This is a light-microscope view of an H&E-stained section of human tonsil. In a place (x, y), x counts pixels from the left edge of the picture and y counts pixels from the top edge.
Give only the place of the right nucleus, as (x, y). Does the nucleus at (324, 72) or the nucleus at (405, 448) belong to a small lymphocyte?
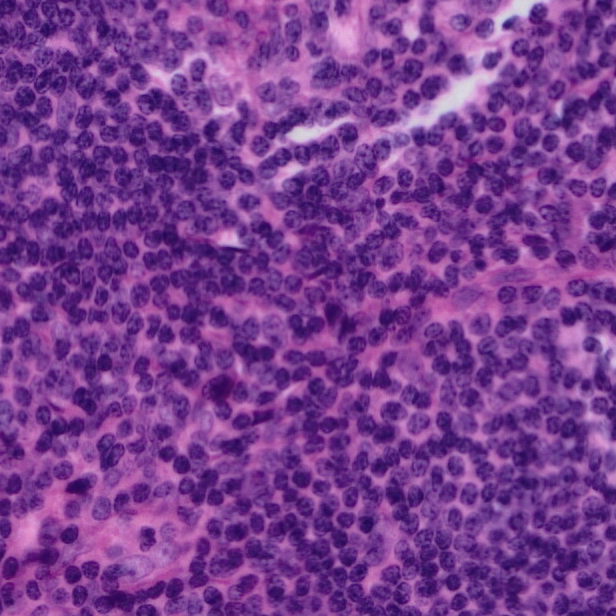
(405, 448)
